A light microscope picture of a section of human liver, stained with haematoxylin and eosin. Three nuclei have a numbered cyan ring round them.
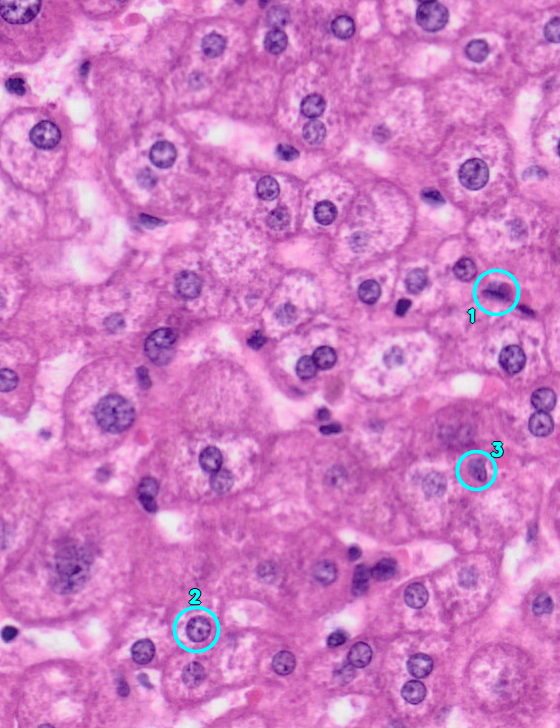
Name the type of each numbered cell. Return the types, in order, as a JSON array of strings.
["endothelial cell", "hepatocyte", "endothelial cell"]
